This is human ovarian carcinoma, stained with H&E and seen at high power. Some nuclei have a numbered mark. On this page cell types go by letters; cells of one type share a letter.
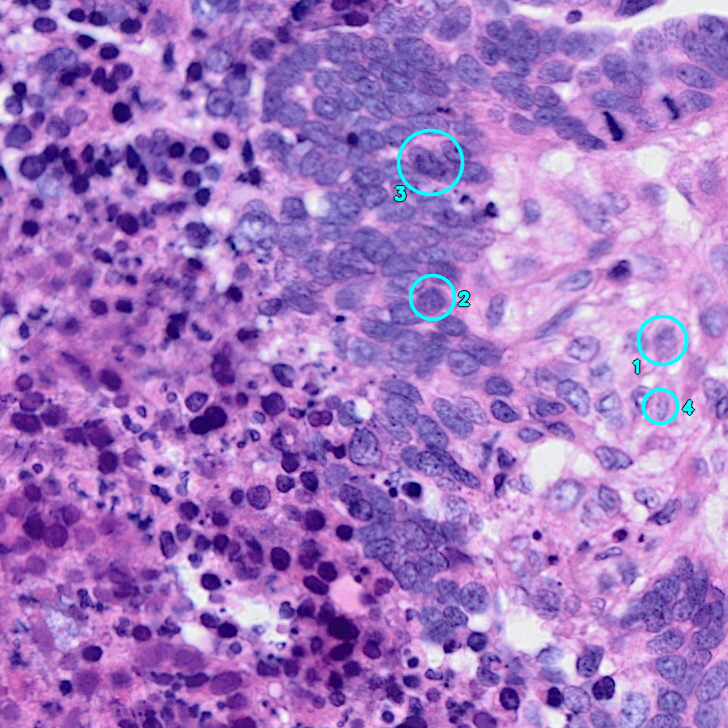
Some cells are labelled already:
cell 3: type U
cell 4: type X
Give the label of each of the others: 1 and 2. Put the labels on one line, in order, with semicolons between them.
type X; type U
